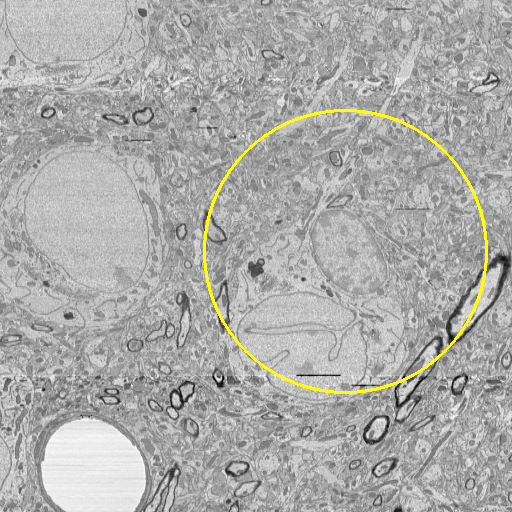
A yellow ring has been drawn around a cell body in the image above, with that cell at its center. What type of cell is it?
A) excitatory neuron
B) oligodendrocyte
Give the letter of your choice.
B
